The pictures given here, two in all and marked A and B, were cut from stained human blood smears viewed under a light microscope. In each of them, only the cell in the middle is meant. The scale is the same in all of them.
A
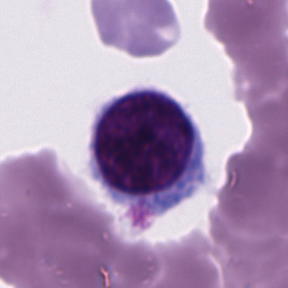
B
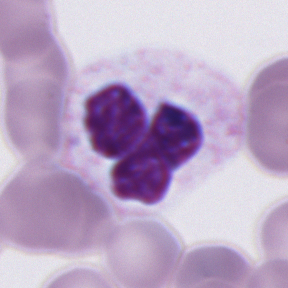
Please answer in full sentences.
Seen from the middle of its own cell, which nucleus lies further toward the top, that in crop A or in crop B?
Seen within its cell, the nucleus in crop A lies further toward the top.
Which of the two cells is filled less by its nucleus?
The nucleus fills less of the cell in crop B than in crop A.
